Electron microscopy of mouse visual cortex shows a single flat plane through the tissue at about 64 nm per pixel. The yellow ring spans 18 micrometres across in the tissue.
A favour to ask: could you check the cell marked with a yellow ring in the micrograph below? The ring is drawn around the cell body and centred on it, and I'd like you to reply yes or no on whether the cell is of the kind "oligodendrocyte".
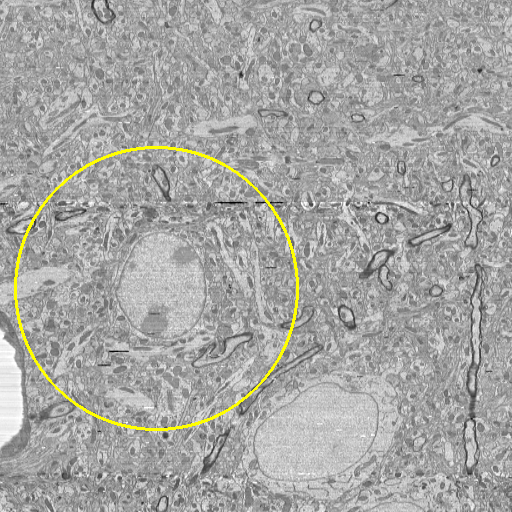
no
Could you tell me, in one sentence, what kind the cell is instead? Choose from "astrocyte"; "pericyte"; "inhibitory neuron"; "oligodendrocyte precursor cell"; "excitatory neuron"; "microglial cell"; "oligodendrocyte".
The cell enclosed by the ring is an astrocyte.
